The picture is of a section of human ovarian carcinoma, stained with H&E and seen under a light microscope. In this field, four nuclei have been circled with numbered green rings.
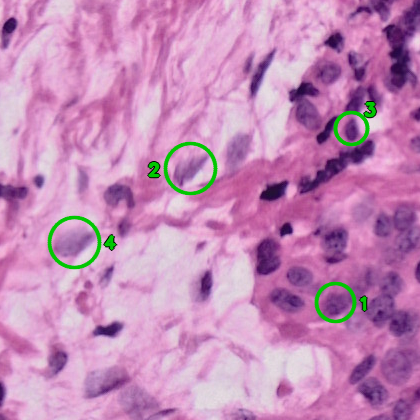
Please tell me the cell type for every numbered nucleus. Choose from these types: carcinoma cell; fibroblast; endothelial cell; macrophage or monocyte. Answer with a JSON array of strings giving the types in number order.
["carcinoma cell", "fibroblast", "macrophage or monocyte", "fibroblast"]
